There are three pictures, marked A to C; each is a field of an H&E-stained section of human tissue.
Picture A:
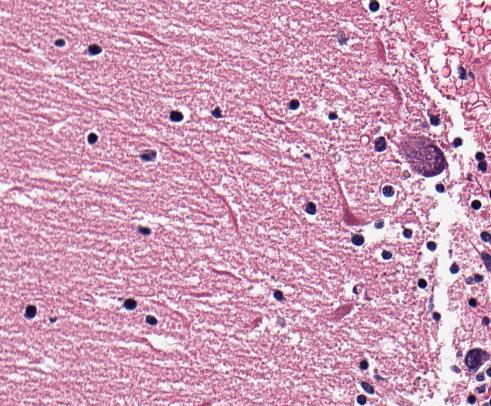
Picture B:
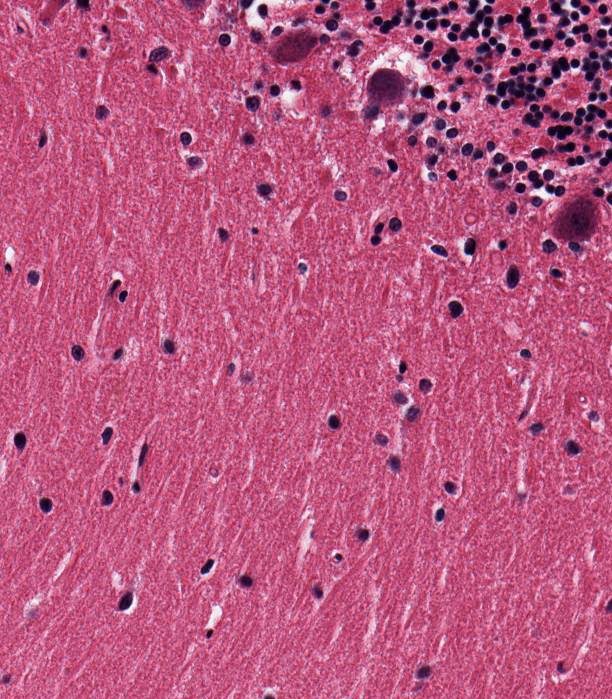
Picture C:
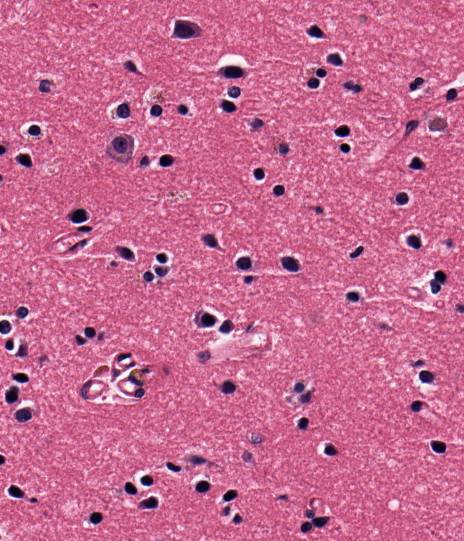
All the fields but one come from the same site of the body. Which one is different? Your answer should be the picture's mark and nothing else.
C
